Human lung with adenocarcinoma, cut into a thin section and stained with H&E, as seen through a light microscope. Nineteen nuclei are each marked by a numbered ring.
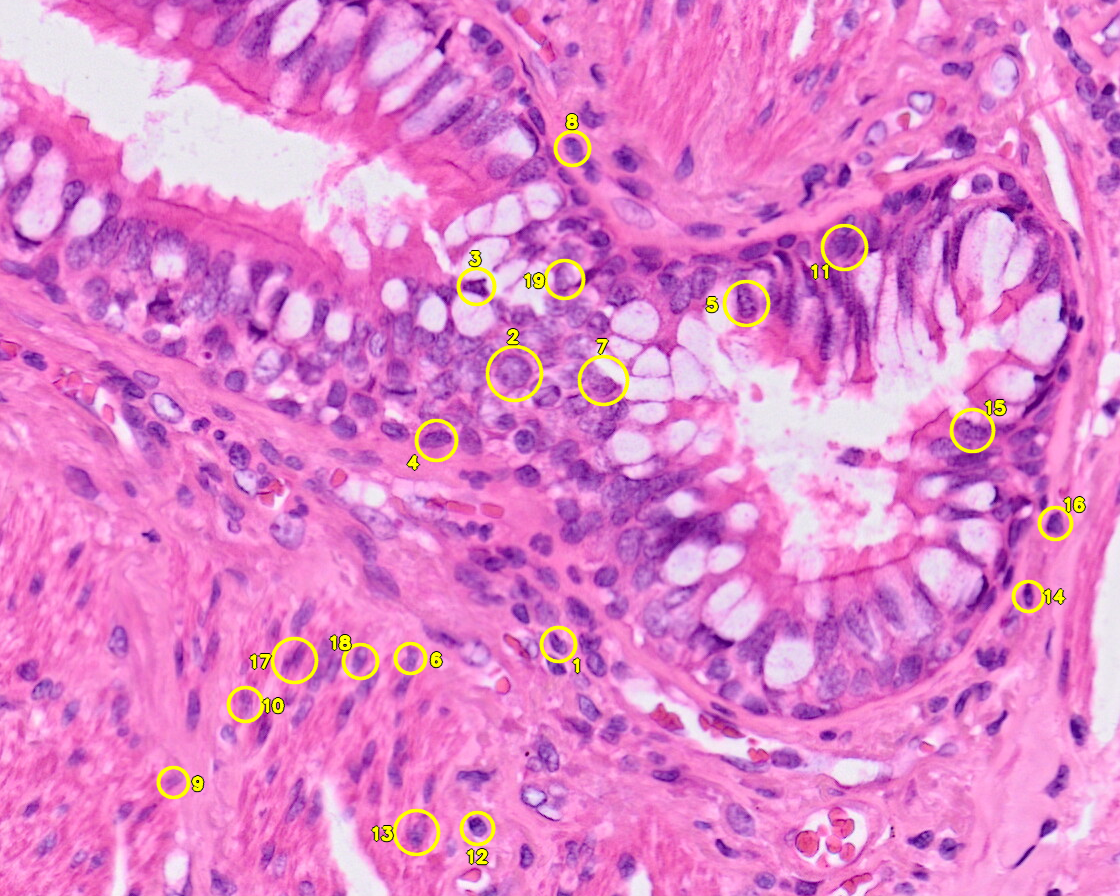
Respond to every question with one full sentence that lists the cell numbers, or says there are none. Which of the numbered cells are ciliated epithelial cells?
So, the cells with numbers 2, 3, 4, 5, 7, 11, 15 and 19 are ciliated epithelial cells.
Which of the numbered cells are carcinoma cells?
The cells whose nuclei carry numbers are not carcinoma cells.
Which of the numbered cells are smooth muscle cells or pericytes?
When it comes to cells 6, 9, 10, 13, 17 and 18, they are smooth muscle cells or pericytes.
